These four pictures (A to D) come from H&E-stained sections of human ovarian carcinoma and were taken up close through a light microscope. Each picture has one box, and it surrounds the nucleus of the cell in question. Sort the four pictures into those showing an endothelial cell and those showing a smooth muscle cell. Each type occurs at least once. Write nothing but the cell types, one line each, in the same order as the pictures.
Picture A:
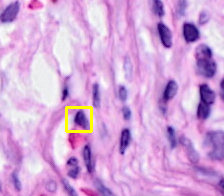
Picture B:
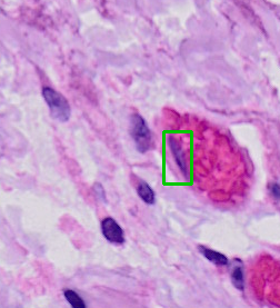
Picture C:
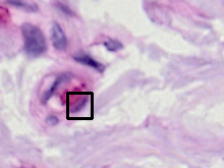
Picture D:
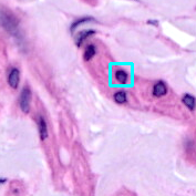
endothelial cell
endothelial cell
endothelial cell
smooth muscle cell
